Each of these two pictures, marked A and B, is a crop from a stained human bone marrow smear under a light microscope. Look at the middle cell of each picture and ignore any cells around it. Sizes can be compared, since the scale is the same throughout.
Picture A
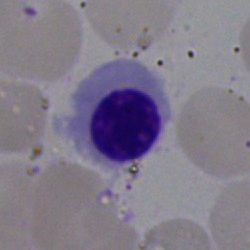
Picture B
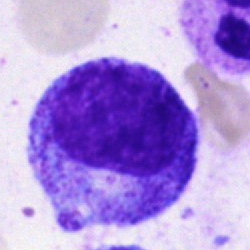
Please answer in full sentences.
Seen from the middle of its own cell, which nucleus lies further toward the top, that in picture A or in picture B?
Seen within its cell, the nucleus in picture B lies further toward the top.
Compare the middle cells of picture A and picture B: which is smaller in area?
The cell in picture A is smaller; the one in picture B has about 3 times its area.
